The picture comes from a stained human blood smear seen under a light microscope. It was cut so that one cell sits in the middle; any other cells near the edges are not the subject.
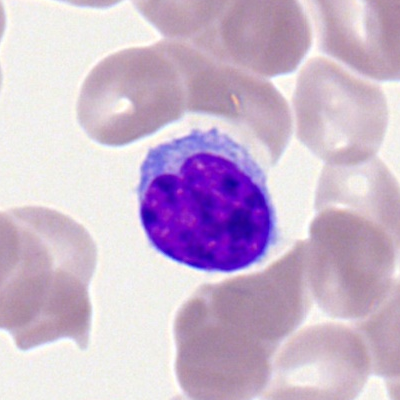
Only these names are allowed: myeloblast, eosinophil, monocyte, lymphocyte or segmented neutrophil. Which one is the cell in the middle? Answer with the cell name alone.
lymphocyte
